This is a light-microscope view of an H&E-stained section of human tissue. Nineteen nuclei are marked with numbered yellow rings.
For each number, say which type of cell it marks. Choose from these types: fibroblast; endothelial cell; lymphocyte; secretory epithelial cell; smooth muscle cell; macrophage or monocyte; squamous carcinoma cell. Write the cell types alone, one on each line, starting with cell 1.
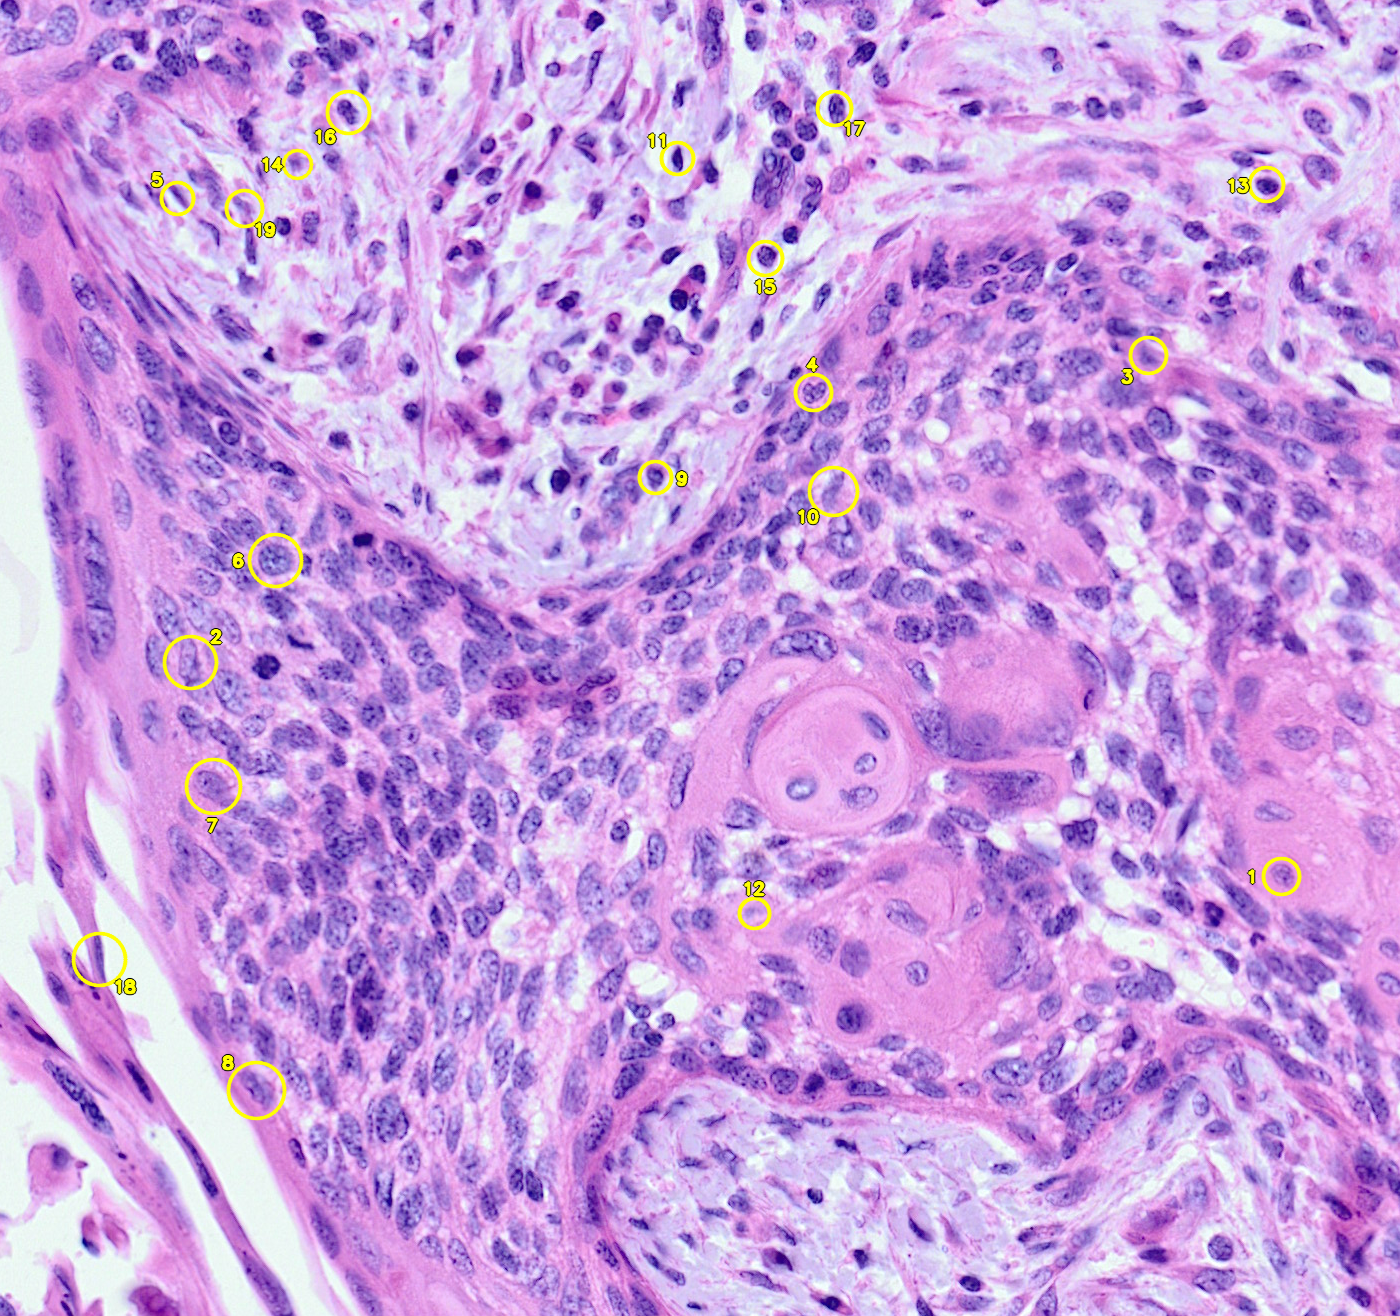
squamous carcinoma cell
squamous carcinoma cell
squamous carcinoma cell
squamous carcinoma cell
fibroblast
squamous carcinoma cell
squamous carcinoma cell
squamous carcinoma cell
lymphocyte
squamous carcinoma cell
lymphocyte
squamous carcinoma cell
lymphocyte
fibroblast
lymphocyte
lymphocyte
lymphocyte
squamous carcinoma cell
fibroblast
